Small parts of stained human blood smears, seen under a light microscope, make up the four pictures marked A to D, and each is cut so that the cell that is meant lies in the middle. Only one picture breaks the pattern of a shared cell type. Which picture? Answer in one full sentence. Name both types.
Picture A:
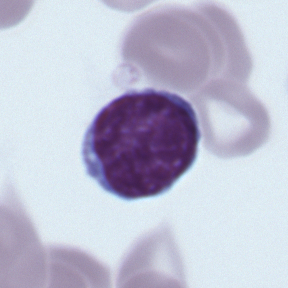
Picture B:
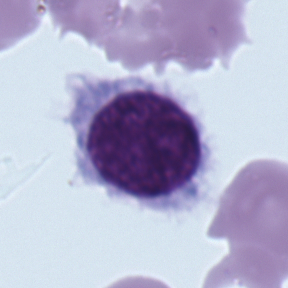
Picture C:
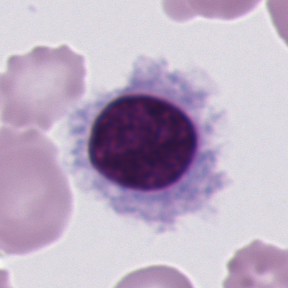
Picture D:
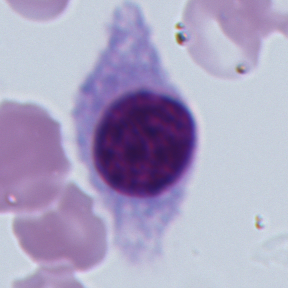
Unlike the rest, which show hairy cells, picture A shows a typical lymphocyte.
